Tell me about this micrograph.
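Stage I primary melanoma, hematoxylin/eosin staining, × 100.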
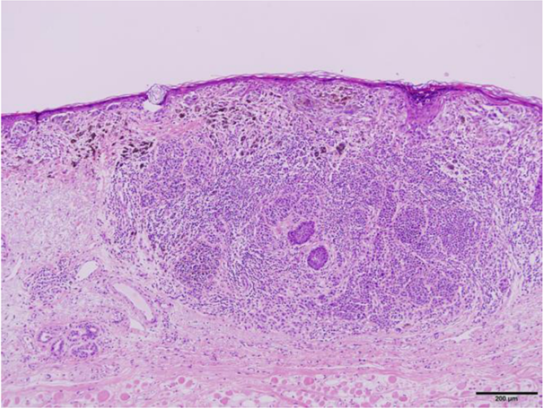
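This is a section of skin in which a large nodule of atypical melanocytes occupies the dermis. The nodule is made of densely packed cells with dark purple nuclei, giving it a much bluer tone than the surrounding pale pink connective tissue. Brown pigment granules gather mainly in the upper part of the nodule, just under the epidermis. The lower edge of the nodule reaches down toward the deeper, looser tissue of the skin.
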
